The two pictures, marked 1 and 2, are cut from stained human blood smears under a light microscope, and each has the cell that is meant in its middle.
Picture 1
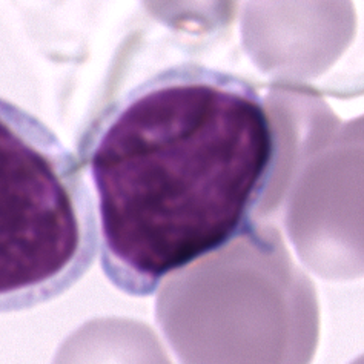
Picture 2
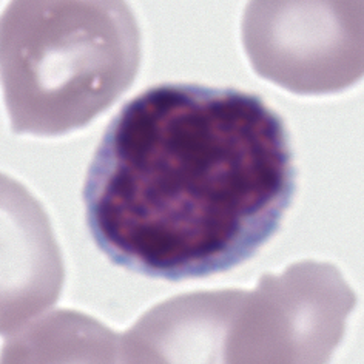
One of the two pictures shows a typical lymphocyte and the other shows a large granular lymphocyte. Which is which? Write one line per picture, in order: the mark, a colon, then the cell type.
1: large granular lymphocyte
2: typical lymphocyte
